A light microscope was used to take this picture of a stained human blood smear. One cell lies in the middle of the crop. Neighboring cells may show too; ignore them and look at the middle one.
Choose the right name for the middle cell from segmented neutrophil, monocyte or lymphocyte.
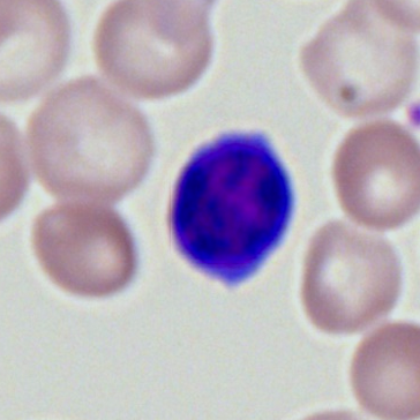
lymphocyte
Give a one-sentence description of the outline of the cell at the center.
The contour of the cell is interrupted by ragged areas or by projections.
